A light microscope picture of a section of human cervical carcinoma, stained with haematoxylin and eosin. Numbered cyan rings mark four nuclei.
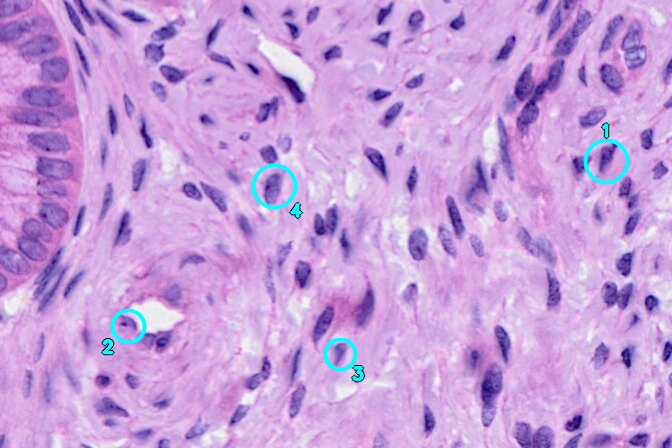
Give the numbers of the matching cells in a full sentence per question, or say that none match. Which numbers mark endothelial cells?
Just the cell marked 2 is an endothelial cell; none of the other marked cells is.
